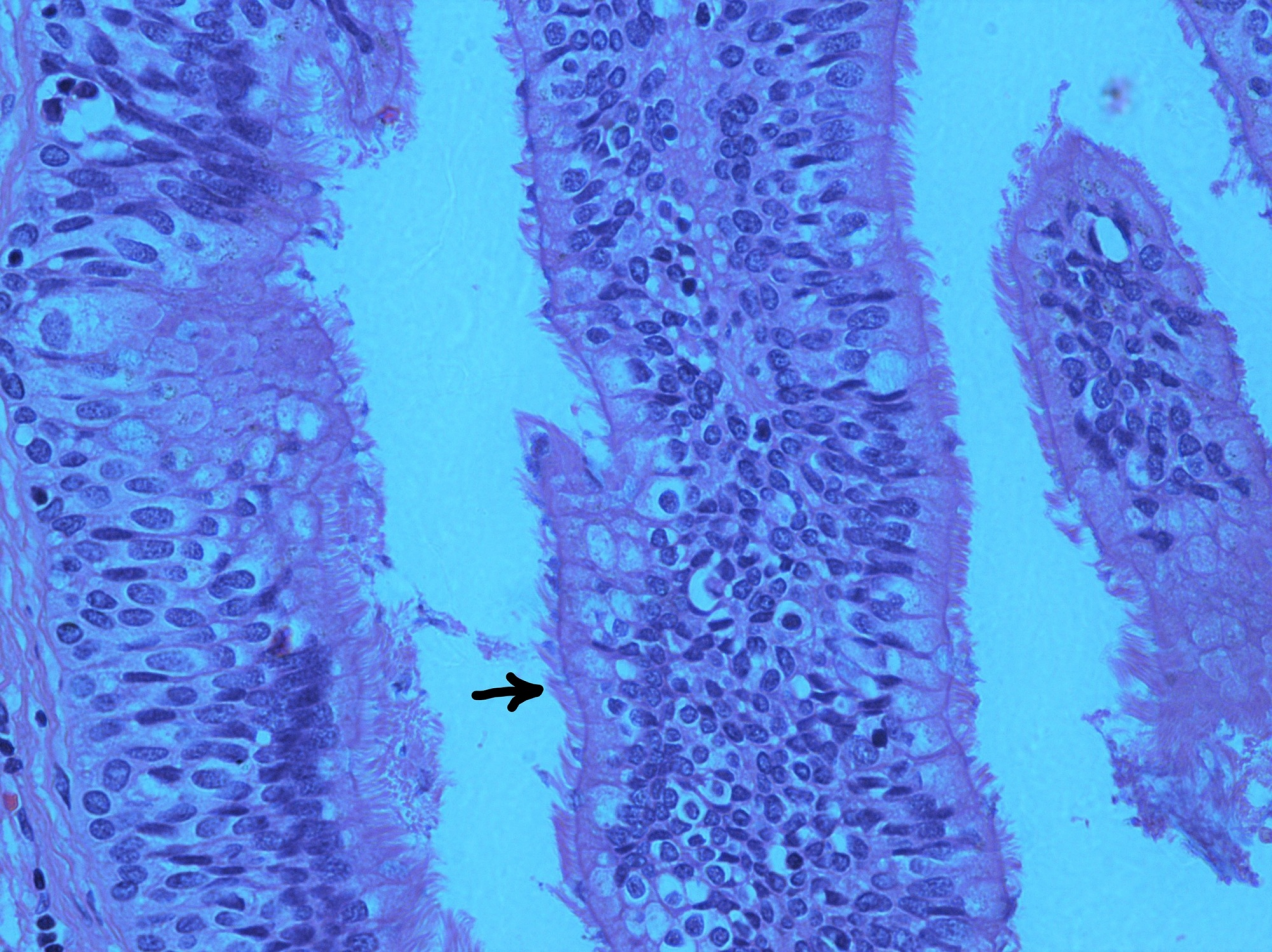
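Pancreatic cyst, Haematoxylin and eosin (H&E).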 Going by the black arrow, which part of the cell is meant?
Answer: cilia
